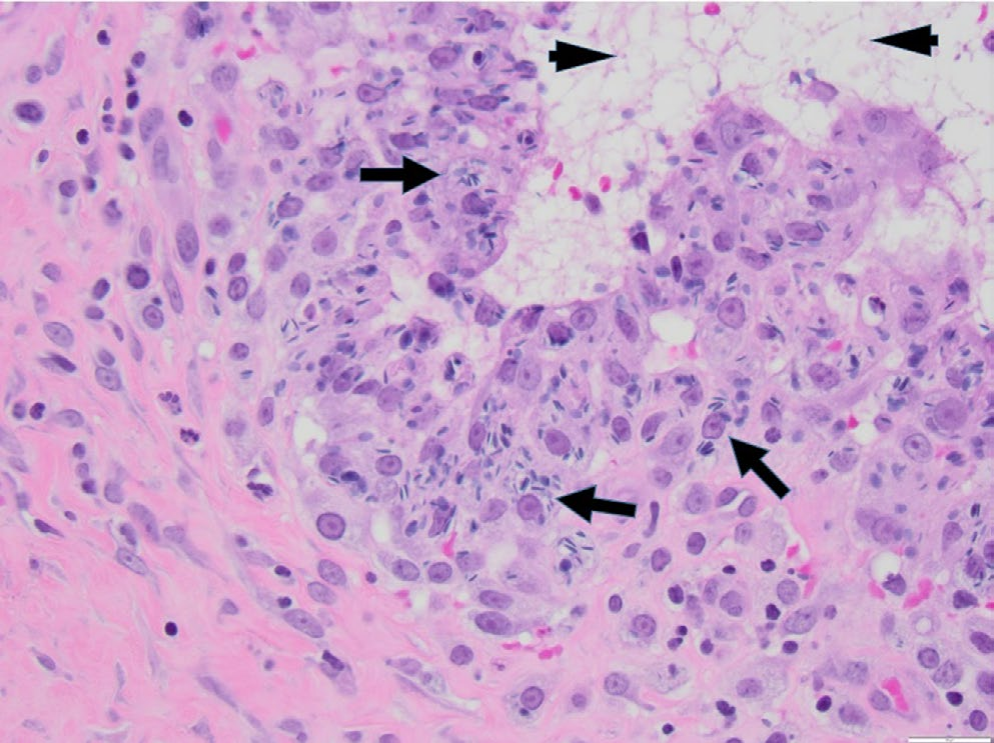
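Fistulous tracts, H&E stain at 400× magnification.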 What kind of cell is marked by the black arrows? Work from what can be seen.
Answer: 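Spermatozoa‐laden macrophages. Large cells with abundant pale purple cytoplasm line the space. The cytoplasm of these cells holds many small, dark, elongated bodies. The cells have round to oval nuclei with visible nucleoli.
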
